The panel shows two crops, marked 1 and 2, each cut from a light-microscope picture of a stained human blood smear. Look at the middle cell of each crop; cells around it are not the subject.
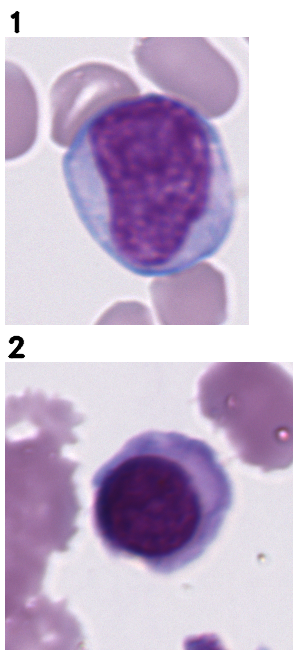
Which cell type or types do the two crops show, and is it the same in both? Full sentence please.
No, the cell of interest in crop 1 is a blast, and in crop 2 it is a hairy cell.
